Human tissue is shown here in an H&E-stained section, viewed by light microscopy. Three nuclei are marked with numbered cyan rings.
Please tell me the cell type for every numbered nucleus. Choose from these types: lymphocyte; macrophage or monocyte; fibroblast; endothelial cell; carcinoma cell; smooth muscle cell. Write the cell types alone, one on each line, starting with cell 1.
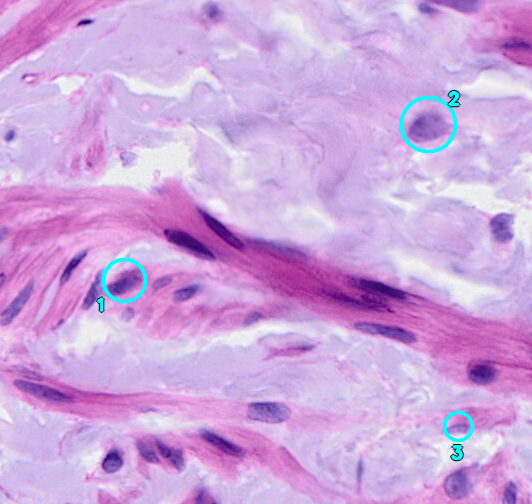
smooth muscle cell
fibroblast
smooth muscle cell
